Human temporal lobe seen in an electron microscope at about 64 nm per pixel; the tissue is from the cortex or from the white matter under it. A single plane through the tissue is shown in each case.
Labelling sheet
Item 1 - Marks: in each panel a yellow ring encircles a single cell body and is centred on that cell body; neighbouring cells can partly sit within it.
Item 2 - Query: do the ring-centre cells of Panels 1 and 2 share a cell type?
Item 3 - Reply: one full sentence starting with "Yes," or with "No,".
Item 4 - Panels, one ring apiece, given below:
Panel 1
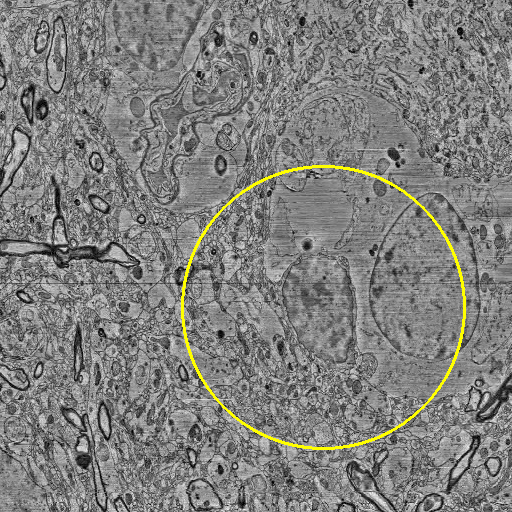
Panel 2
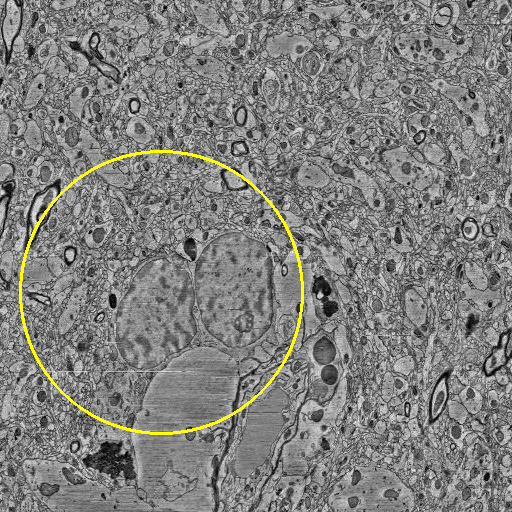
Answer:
Yes, Panel 1 and Panel 2 show one cell type at the centres of their rings.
